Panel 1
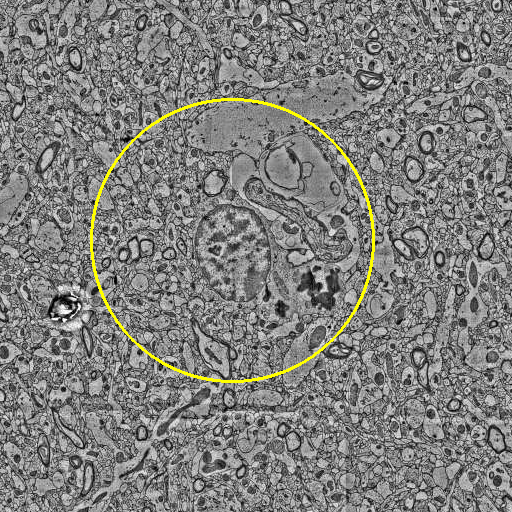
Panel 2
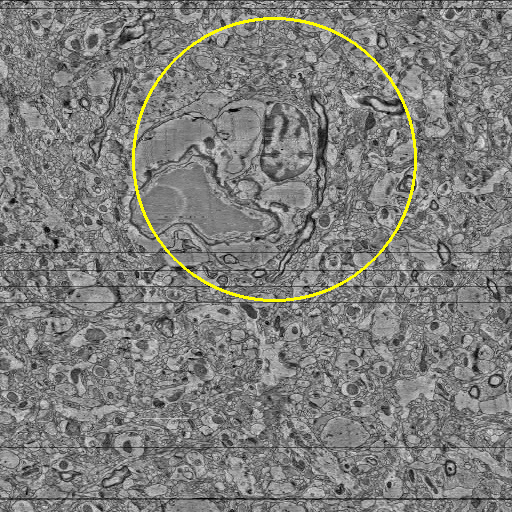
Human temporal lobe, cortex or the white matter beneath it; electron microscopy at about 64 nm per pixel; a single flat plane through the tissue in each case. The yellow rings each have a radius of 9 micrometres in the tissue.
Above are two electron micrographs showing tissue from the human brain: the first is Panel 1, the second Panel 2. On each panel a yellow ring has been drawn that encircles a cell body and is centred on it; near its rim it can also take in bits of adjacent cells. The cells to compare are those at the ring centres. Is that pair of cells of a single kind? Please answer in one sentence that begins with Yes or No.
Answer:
No, the ring-centred cells of Panel 1 and Panel 2 belong to two kinds.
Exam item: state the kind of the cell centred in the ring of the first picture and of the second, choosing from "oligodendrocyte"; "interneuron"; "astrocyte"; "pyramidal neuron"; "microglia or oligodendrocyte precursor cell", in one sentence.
The first picture shows an oligodendrocyte at the ring centre and the second shows a microglial cell or oligodendrocyte precursor cell.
